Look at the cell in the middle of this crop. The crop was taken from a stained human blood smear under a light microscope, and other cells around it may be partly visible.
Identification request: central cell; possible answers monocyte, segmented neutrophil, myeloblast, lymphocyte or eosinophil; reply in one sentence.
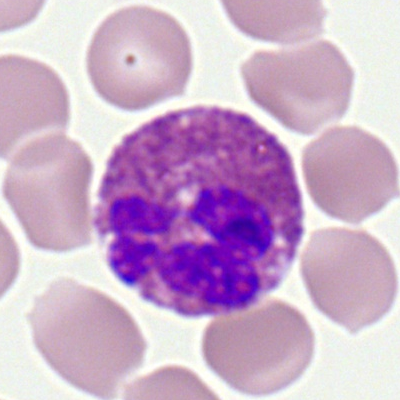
Regarding the central cell, it is an eosinophil.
